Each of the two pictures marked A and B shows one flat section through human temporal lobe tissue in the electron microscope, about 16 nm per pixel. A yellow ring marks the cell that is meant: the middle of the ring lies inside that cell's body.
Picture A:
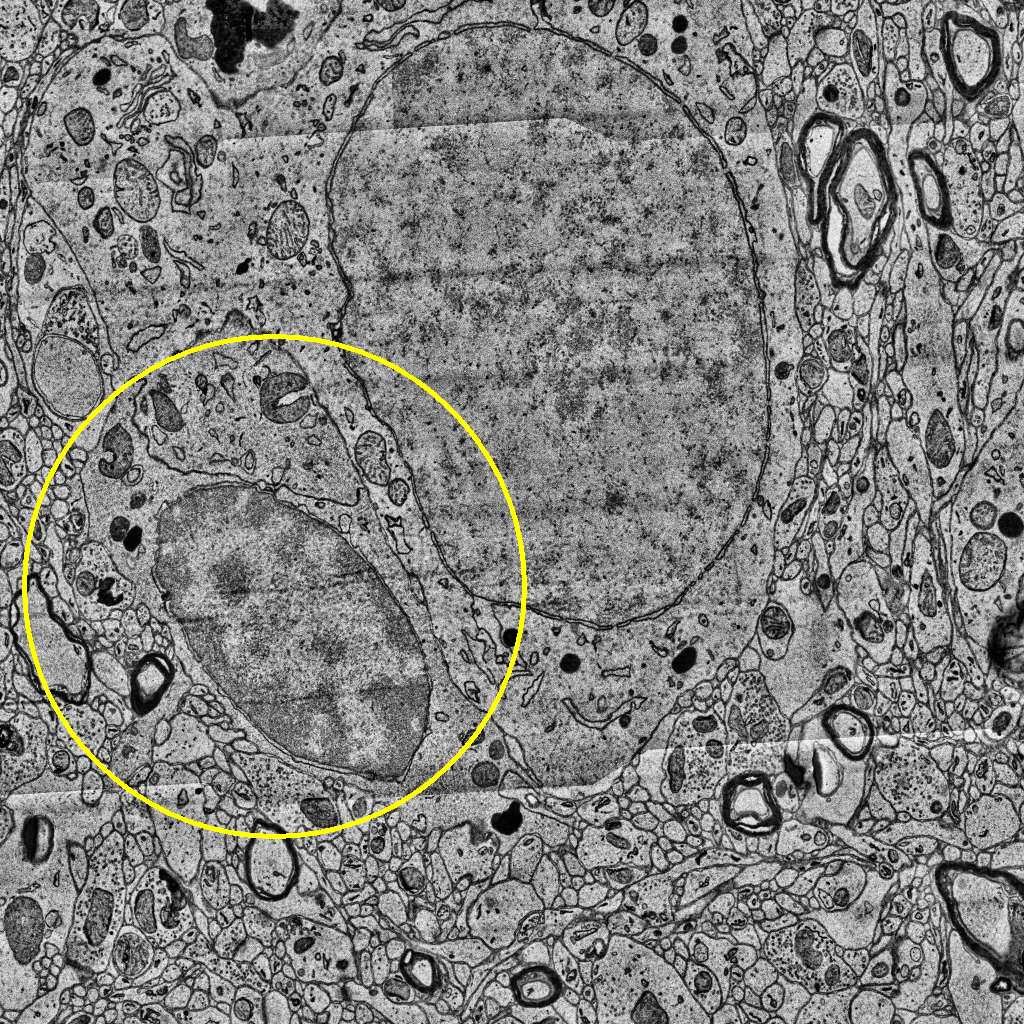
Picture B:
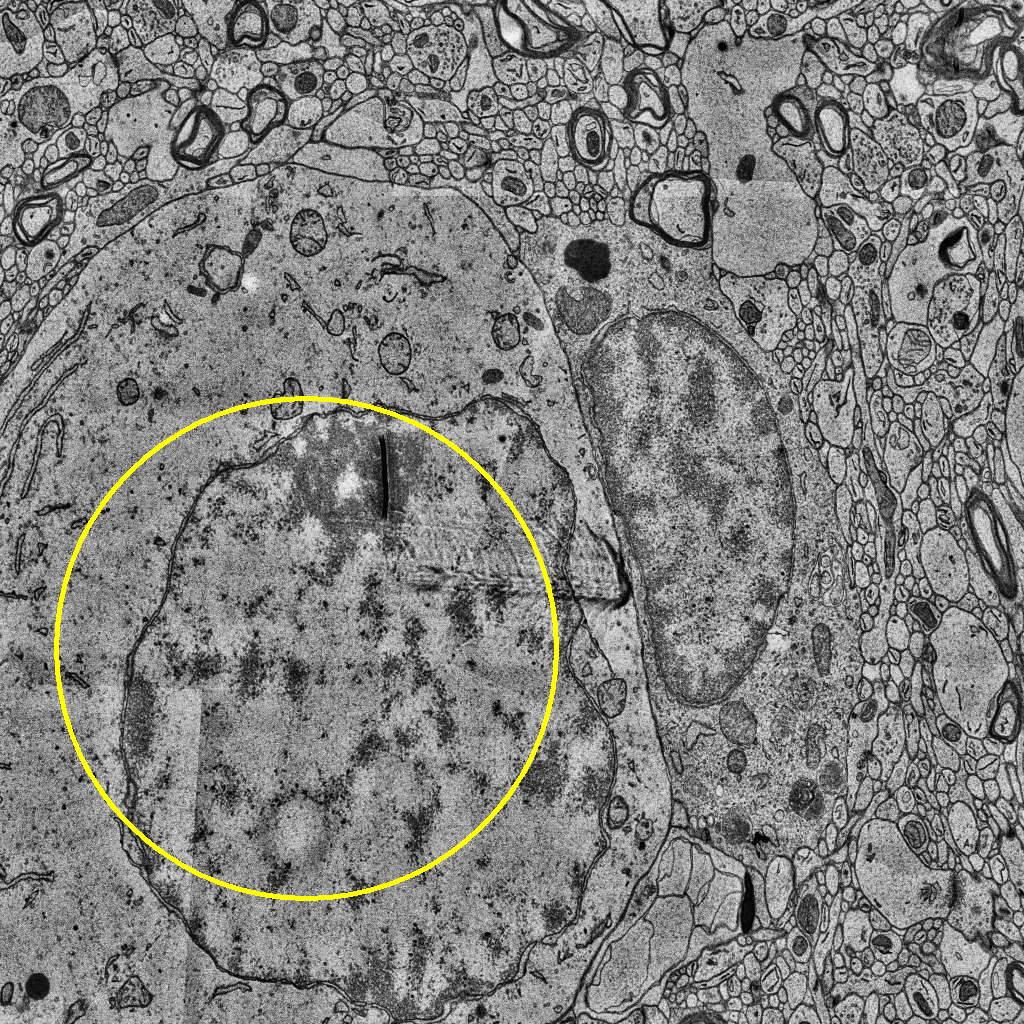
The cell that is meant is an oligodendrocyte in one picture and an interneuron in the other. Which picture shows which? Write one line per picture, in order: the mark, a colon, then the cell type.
A: oligodendrocyte
B: interneuron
